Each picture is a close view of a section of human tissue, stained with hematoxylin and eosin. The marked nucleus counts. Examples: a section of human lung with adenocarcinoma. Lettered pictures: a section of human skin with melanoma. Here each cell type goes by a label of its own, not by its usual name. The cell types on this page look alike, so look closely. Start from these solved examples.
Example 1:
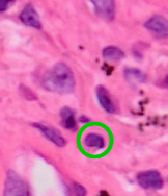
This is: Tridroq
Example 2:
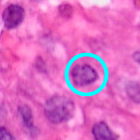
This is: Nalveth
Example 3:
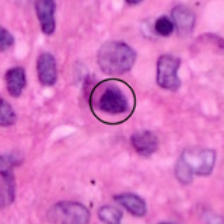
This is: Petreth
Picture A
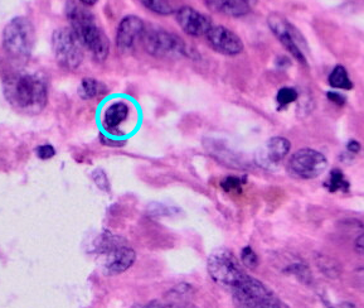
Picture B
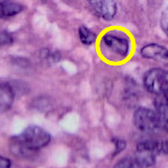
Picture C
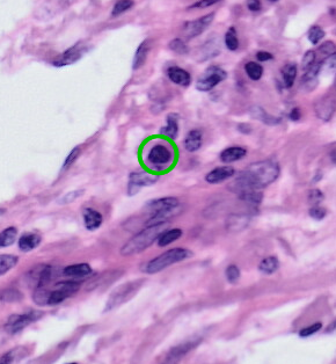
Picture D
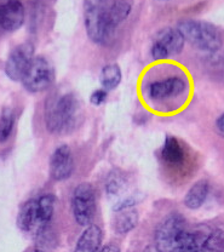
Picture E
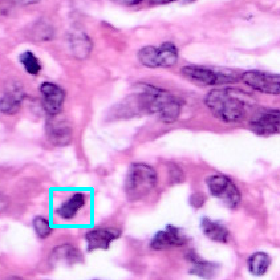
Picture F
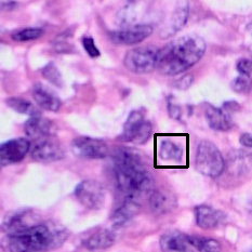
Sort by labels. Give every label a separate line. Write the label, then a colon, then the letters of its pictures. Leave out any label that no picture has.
Tridroq: A, E
Nalveth: B, D, F
Petreth: C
